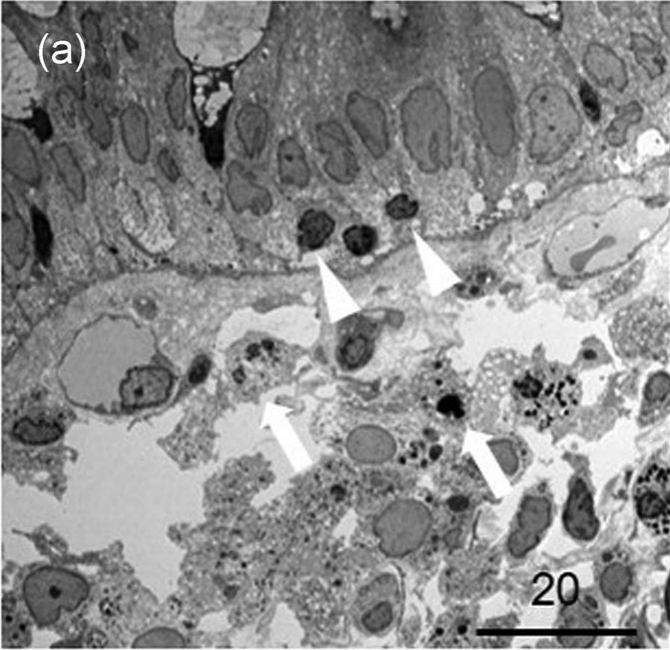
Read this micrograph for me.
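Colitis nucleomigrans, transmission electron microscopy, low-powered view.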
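A surface-lining columnar epithelium sits above a loose lamina propria. Small cells with dark, compact nuclei lie within the lower epithelium, consistent with intraepithelial lymphocytes.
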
